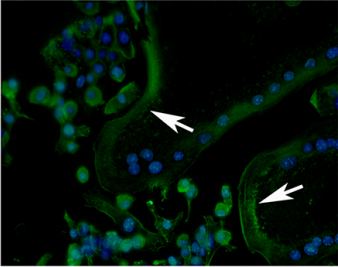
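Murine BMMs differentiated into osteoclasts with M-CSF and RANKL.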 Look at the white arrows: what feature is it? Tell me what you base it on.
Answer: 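Large cells are bordered by wide, fuzzy, finely dotted green bands. So: actin belts with "scattered" podosomes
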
